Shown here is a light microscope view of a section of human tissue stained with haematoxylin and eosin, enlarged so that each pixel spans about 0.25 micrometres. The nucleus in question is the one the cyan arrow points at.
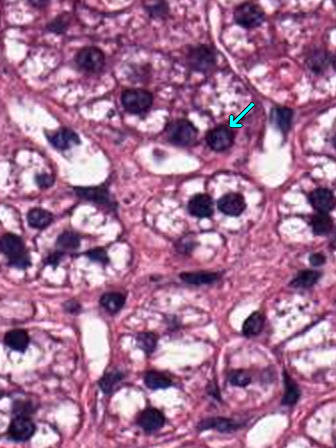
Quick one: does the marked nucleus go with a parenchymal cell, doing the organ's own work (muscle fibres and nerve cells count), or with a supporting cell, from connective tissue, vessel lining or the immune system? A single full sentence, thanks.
The marked nucleus is contained in a parenchymal cell, namely an adrenal cortical cell.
